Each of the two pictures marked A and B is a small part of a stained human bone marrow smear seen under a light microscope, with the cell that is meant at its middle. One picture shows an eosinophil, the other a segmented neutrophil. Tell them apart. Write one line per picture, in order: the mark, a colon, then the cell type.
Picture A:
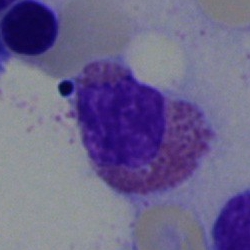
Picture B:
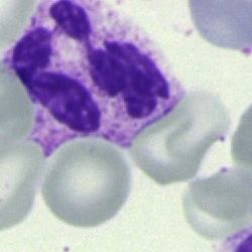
A: eosinophil
B: segmented neutrophil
